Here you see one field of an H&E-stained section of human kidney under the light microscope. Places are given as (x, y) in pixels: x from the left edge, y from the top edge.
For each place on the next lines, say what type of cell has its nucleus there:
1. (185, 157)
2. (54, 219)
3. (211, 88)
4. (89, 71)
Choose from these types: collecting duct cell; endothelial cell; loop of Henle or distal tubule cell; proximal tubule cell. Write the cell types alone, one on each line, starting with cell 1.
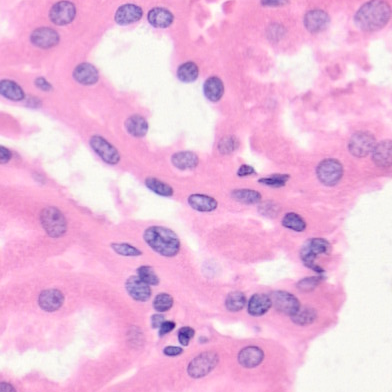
loop of Henle or distal tubule cell
proximal tubule cell
loop of Henle or distal tubule cell
loop of Henle or distal tubule cell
